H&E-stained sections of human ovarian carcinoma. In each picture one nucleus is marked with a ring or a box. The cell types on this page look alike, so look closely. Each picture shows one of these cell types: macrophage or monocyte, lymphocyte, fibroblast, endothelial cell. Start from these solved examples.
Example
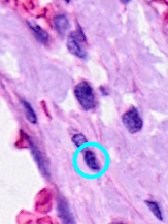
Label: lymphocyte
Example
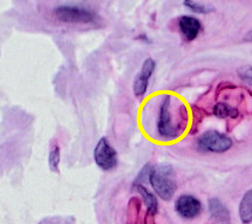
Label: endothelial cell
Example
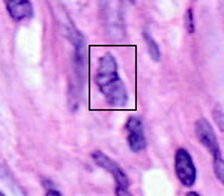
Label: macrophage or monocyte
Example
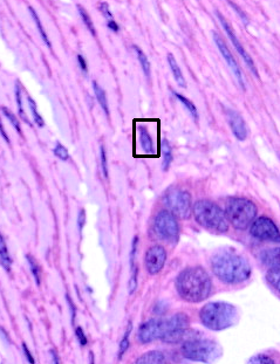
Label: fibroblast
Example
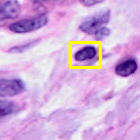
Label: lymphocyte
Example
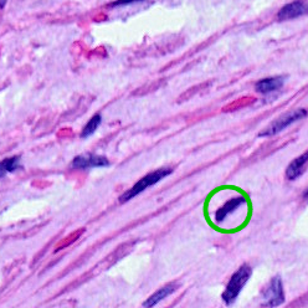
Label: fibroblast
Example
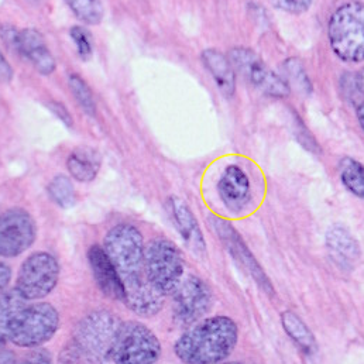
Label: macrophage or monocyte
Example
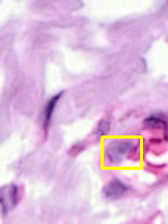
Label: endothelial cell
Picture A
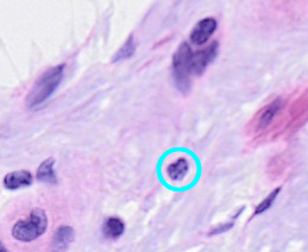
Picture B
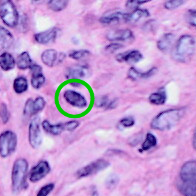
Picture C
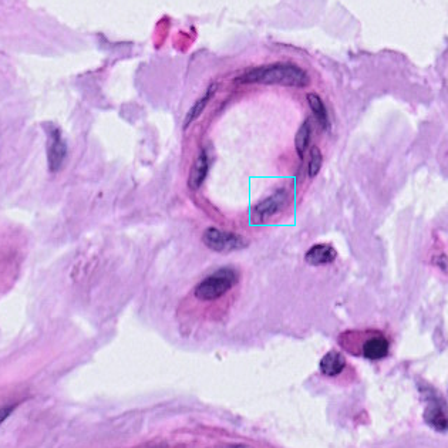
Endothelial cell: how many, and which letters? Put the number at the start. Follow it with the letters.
1, namely C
